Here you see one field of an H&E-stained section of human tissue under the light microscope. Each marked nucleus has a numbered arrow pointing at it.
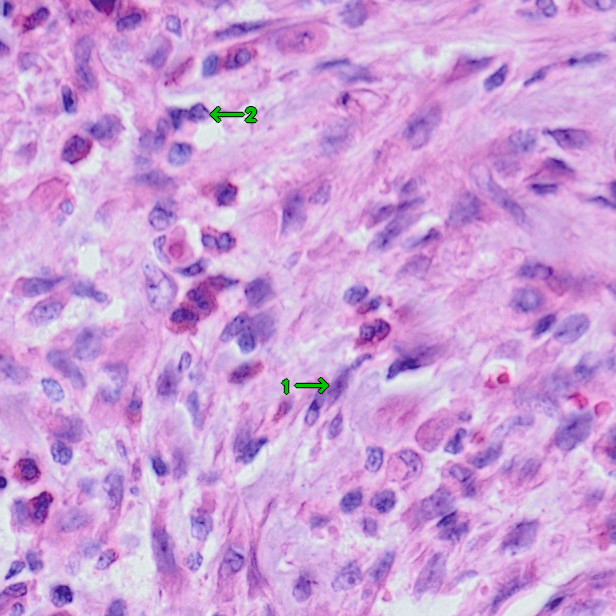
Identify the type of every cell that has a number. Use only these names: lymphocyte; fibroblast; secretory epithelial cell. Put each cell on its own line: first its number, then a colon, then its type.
1: fibroblast
2: lymphocyte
